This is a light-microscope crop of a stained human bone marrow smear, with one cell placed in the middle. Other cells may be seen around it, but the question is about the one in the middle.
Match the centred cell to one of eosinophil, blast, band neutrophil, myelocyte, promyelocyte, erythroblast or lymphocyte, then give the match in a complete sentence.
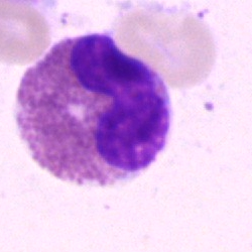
Of the cells in this crop, the central one is an eosinophil.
